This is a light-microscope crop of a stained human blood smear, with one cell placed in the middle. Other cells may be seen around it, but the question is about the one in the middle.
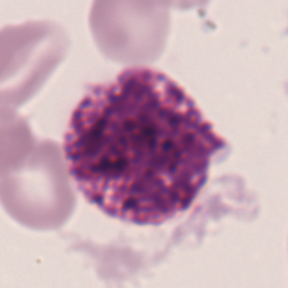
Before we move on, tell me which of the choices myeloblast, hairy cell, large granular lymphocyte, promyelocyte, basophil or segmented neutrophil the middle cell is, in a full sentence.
The cell featured at the centre of this crop is a basophil.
